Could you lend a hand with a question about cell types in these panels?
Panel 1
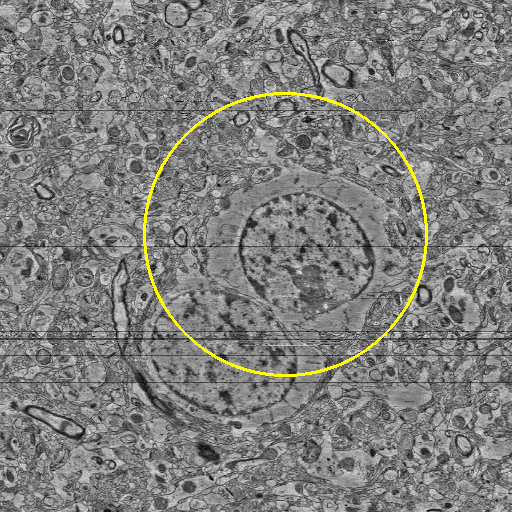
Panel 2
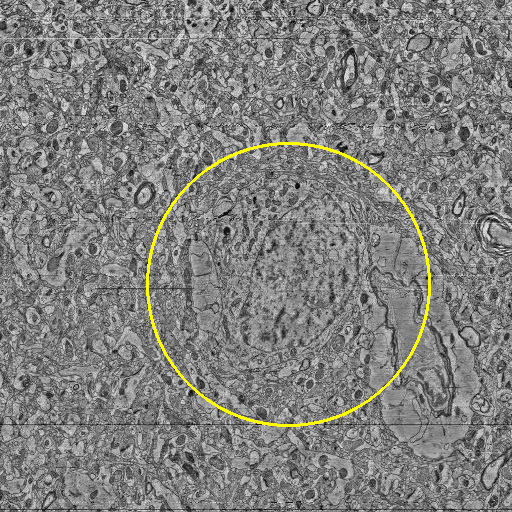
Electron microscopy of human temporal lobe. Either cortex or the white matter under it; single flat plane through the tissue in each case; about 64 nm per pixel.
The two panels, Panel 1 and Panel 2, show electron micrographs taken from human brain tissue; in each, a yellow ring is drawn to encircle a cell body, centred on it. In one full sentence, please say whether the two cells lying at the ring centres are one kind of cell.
No, the cells at the ring centres in the two panels are two kinds of cell.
